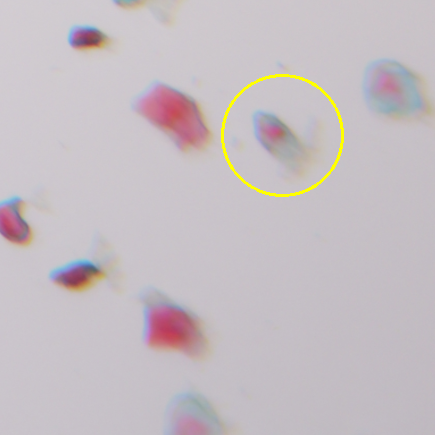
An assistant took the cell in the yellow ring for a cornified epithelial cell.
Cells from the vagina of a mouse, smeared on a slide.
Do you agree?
I disagree, it is a nucleated epithelial cell.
